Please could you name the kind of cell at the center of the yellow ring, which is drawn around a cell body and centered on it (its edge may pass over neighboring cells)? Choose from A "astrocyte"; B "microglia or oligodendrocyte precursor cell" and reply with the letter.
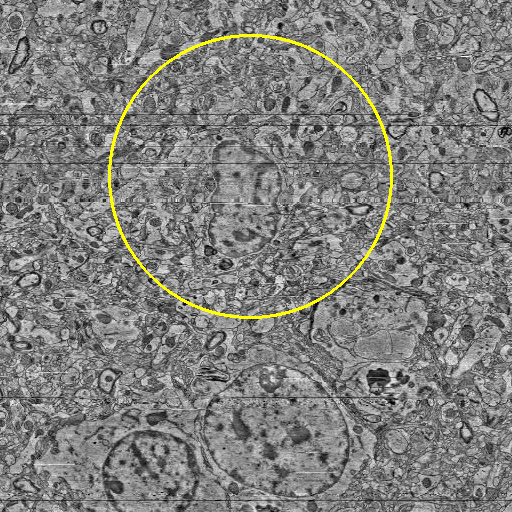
B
